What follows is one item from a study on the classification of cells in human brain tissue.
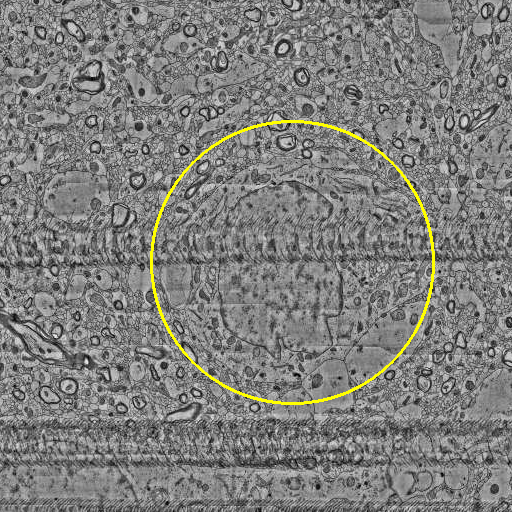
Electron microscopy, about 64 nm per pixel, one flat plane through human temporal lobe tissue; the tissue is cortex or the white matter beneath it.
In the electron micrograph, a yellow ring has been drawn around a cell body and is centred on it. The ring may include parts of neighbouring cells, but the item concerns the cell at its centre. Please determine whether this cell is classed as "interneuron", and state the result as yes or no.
yes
